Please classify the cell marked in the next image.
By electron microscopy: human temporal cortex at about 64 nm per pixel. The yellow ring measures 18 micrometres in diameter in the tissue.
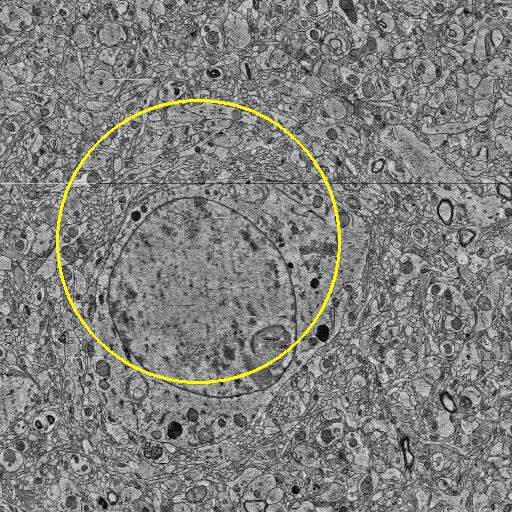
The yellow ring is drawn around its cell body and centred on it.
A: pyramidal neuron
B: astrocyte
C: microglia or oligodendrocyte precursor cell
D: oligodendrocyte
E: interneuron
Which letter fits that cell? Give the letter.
A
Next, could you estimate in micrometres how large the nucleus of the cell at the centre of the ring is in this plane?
In this plane the nucleus spans approximately 14 by 12 micrometers.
